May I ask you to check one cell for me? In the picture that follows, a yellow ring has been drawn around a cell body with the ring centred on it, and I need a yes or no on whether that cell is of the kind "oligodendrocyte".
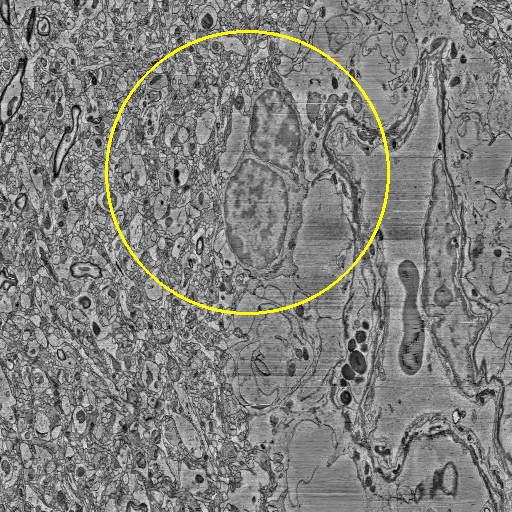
Yes, it is that kind of cell.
